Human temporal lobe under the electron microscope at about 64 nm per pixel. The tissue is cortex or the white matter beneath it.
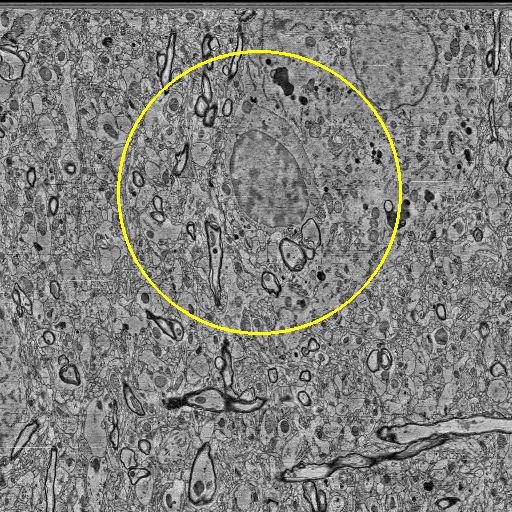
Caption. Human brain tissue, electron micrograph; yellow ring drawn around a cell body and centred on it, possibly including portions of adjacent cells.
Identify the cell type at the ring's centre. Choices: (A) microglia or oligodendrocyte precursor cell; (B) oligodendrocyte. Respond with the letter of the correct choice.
B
